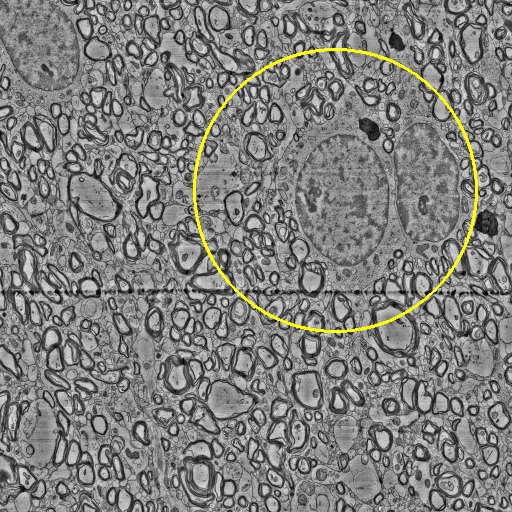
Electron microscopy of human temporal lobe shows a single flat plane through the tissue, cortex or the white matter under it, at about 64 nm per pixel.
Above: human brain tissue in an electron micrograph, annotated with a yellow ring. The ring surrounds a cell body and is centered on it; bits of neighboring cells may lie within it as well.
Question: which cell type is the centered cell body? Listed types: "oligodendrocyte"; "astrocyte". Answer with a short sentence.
The centered cell body is an oligodendrocyte.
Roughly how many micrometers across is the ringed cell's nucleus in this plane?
The ringed cell's nucleus is about 8 micrometres long and 6 micrometres wide in this plane.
